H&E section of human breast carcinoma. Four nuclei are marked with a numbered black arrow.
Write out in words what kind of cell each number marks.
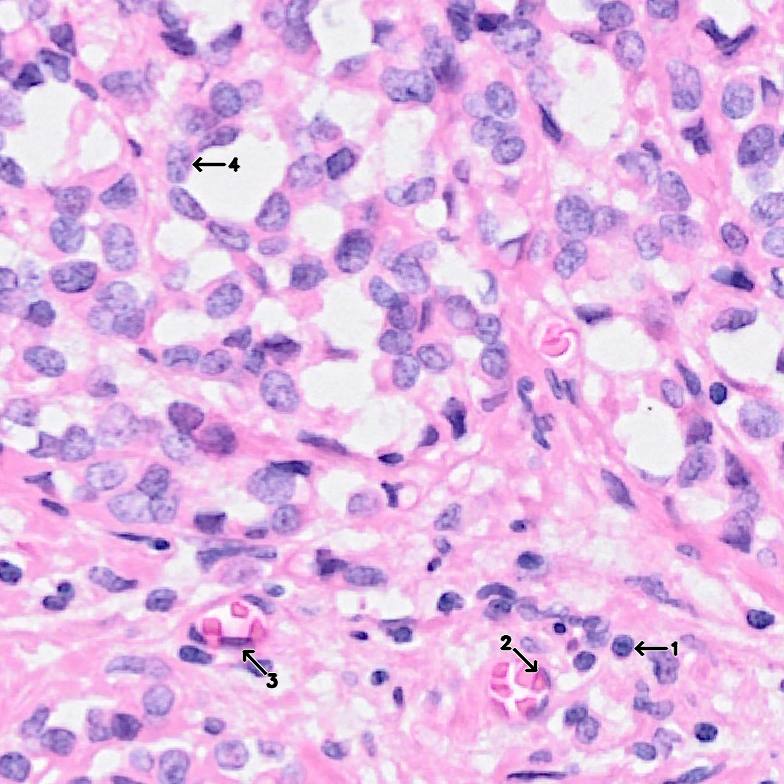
Cell 1 is a lymphocyte. Cells 2 and 3 are endothelial cells. Cell 4 is a carcinoma cell.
